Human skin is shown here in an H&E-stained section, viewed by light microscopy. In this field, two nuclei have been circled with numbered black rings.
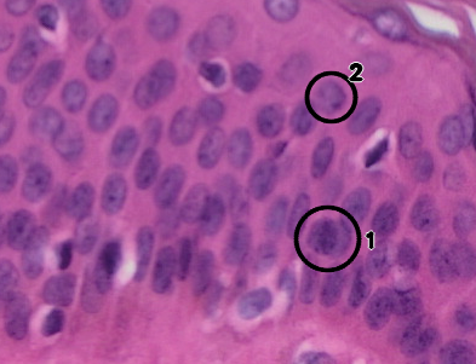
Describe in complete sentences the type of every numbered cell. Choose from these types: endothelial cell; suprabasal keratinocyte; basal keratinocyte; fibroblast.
Cell 1 is a basal keratinocyte and cell 2 is a suprabasal keratinocyte.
